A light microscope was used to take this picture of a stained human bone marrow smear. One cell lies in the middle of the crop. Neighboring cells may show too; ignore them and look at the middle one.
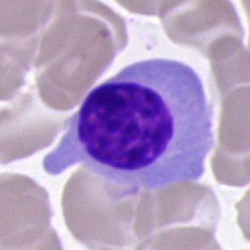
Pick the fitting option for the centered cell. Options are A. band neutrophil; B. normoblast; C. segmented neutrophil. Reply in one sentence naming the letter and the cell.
The correct option here is B; the middle cell is a normoblast.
